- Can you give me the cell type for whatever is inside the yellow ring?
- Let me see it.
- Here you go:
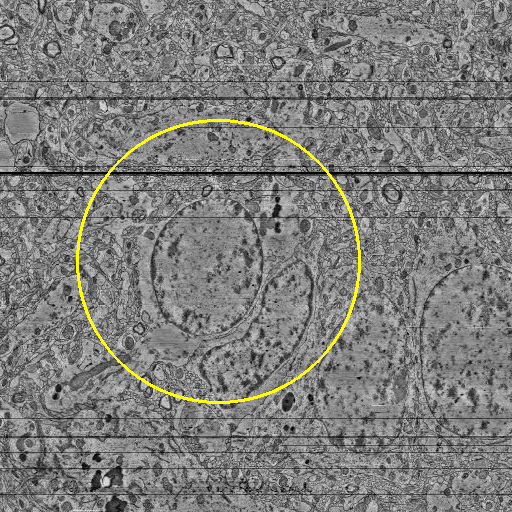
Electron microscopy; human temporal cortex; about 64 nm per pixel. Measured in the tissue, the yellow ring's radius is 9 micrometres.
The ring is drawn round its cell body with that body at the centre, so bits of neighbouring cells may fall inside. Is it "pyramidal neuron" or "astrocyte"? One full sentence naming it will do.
The cell body in the middle of the ring in this picture belongs to an astrocyte.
